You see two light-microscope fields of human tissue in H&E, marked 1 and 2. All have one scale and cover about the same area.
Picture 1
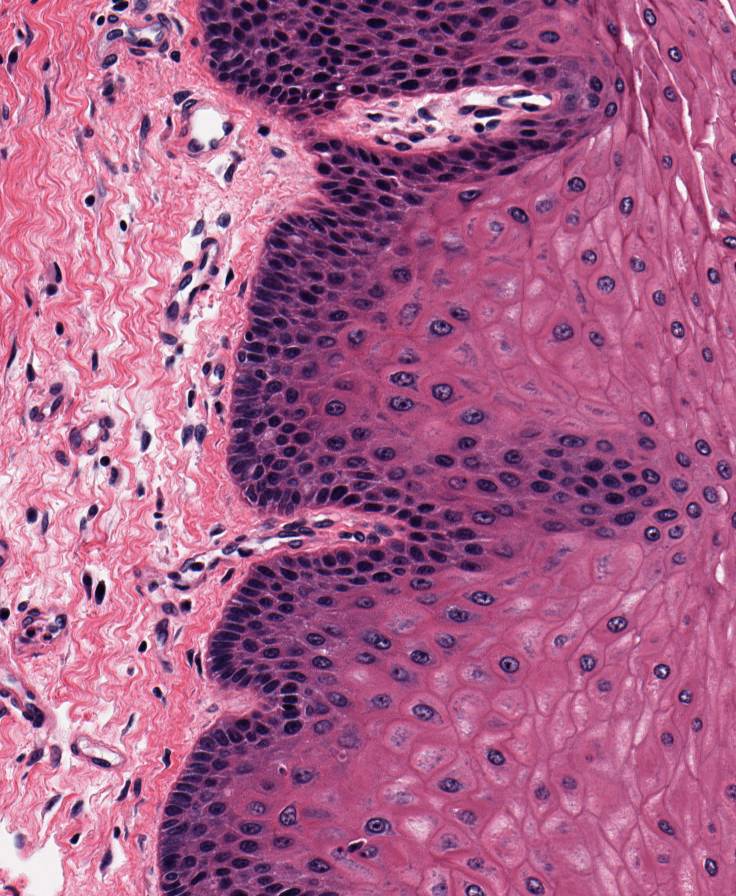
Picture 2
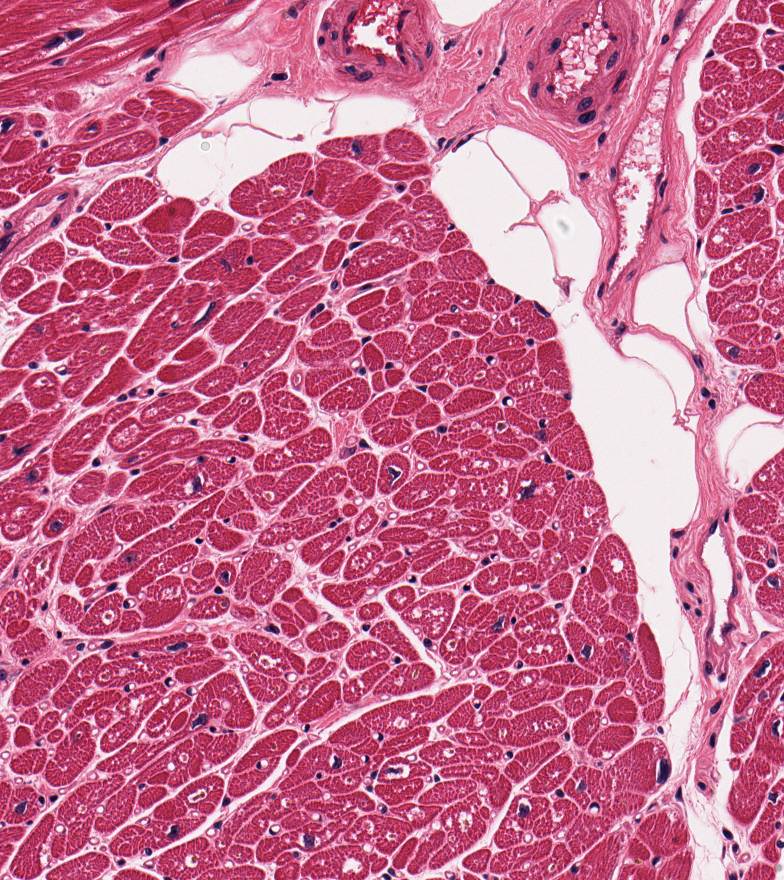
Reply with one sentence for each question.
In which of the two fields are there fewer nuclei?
Fewer nuclei lie in picture 2 than in picture 1.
